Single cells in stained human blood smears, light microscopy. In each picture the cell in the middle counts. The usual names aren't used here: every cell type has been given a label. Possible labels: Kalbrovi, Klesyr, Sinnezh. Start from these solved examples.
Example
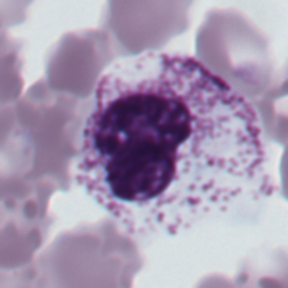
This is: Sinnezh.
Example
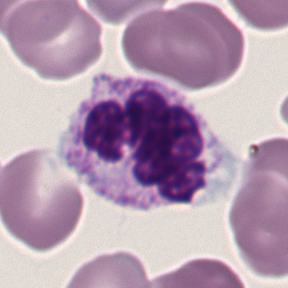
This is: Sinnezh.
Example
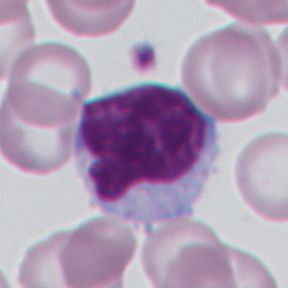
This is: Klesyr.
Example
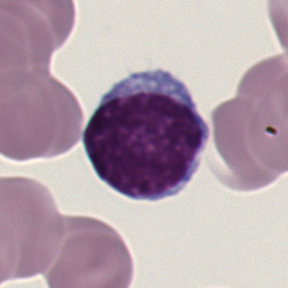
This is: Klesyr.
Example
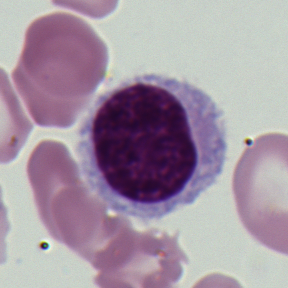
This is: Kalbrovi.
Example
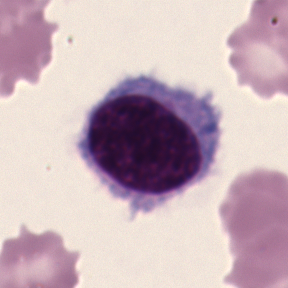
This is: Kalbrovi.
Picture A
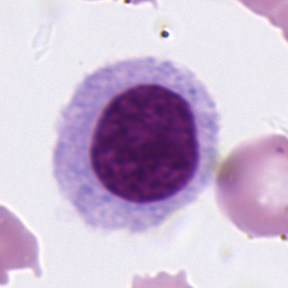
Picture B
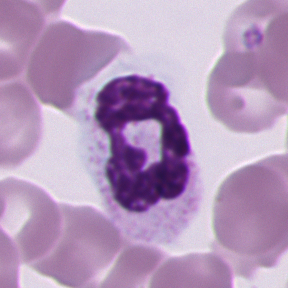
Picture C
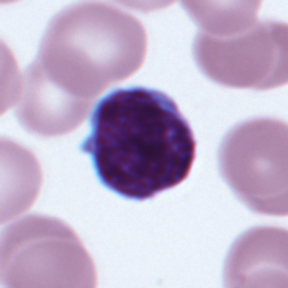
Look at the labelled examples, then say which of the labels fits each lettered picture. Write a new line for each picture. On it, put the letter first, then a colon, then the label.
A: Kalbrovi.
B: Sinnezh.
C: Klesyr.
